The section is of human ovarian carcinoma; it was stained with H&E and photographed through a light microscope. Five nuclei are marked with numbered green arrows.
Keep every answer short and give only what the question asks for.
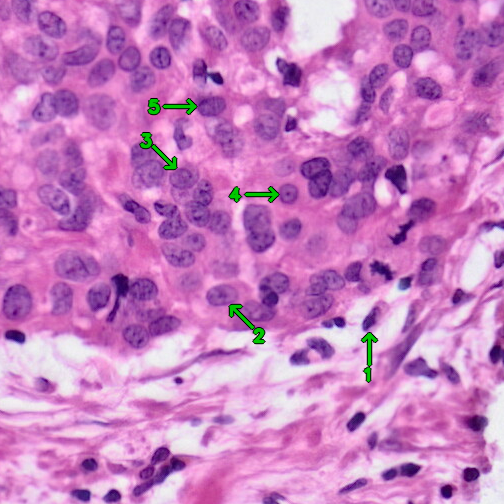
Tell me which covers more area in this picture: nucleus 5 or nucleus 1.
5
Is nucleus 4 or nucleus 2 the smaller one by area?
4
